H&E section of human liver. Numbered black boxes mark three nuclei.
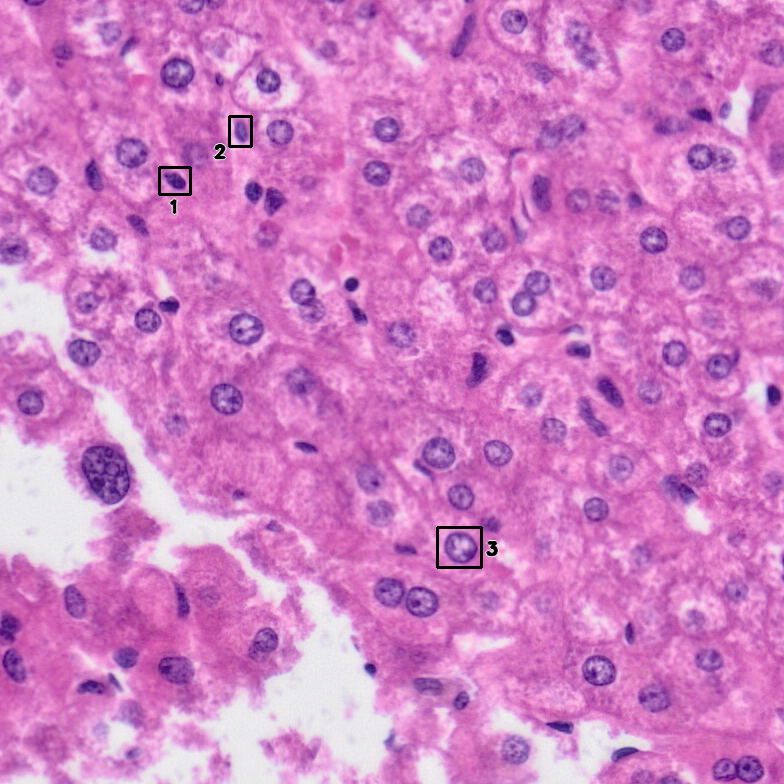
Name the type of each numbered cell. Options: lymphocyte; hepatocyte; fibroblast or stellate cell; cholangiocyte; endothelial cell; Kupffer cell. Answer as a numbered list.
1. lymphocyte
2. lymphocyte
3. hepatocyte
